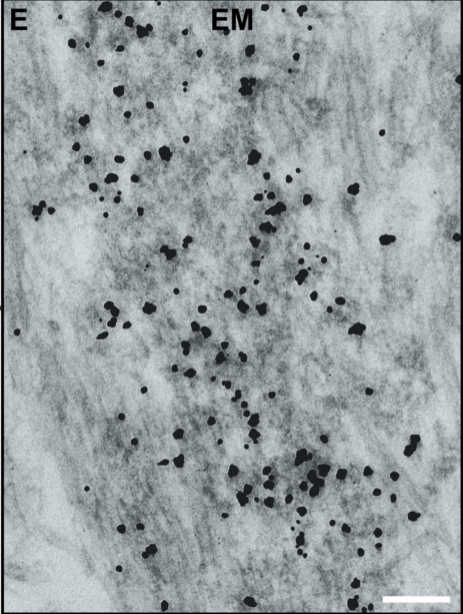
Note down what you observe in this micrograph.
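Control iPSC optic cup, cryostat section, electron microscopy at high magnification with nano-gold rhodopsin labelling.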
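The background is a grey, finely streaked material with faint lines running roughly in one direction. Scattered over it are many dense black gold particles of irregular outline and varying size, some single and some in small clusters. The particles gather most densely in a band through the middle and lower right of the field.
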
